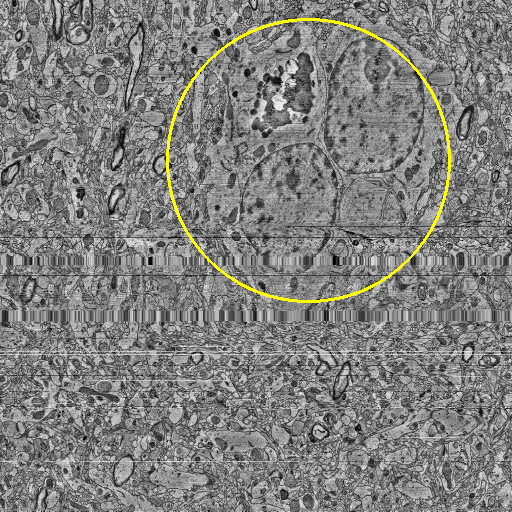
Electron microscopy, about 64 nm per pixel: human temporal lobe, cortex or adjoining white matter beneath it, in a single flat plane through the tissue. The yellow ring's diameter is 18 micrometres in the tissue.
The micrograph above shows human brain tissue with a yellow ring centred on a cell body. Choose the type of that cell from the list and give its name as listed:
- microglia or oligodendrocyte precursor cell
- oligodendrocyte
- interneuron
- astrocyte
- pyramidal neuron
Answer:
astrocyte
